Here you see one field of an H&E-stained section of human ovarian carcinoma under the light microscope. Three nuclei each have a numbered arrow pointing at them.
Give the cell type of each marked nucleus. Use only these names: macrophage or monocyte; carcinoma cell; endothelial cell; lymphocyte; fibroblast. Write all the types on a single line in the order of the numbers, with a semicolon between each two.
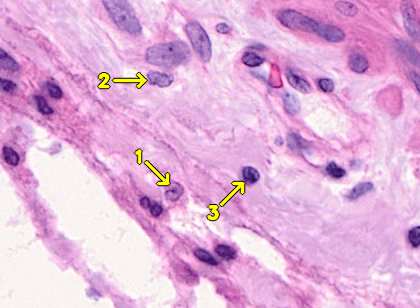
macrophage or monocyte; macrophage or monocyte; lymphocyte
